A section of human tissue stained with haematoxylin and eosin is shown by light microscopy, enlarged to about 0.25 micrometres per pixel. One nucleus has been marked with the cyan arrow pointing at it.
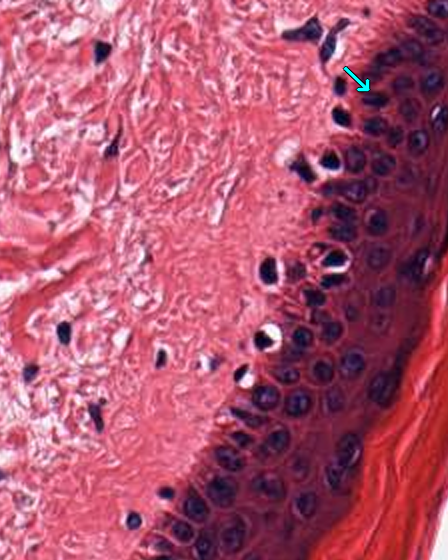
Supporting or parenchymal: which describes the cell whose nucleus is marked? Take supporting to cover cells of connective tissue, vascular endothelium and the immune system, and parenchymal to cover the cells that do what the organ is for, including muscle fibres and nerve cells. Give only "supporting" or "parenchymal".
parenchymal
